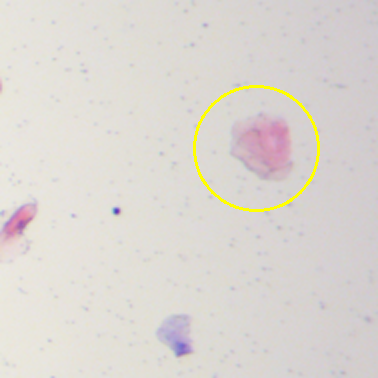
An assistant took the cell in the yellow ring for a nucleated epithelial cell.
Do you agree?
I disagree, it is a cornified epithelial cell.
